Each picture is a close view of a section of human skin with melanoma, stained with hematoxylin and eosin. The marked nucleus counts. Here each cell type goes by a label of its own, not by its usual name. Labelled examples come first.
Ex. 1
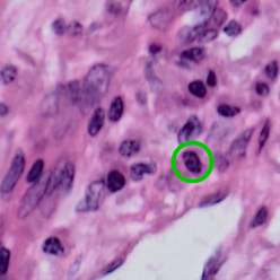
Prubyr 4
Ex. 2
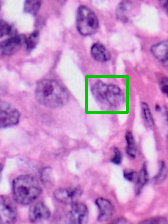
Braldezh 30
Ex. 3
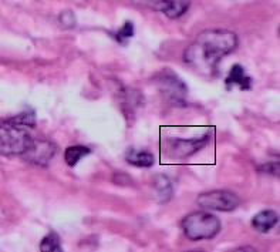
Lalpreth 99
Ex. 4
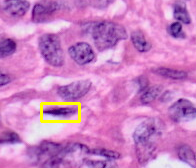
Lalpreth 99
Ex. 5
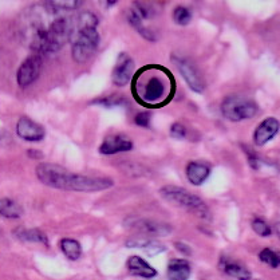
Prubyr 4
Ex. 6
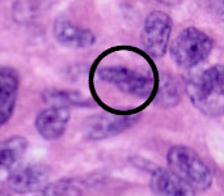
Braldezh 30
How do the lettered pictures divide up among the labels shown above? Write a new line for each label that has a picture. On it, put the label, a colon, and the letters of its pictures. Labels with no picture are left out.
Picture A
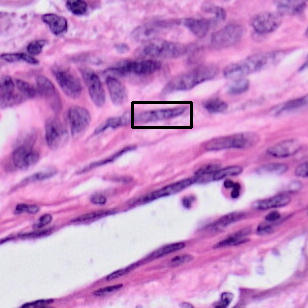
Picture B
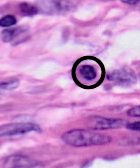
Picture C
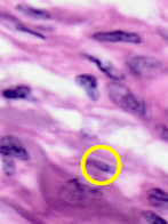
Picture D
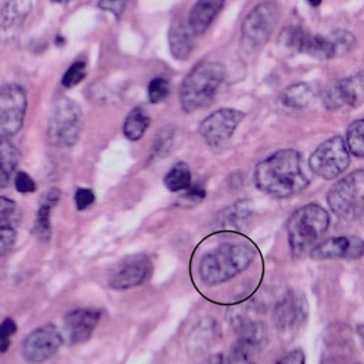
Prubyr 4: B
Braldezh 30: D
Lalpreth 99: A, C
